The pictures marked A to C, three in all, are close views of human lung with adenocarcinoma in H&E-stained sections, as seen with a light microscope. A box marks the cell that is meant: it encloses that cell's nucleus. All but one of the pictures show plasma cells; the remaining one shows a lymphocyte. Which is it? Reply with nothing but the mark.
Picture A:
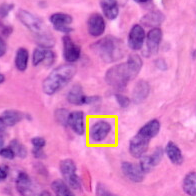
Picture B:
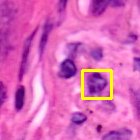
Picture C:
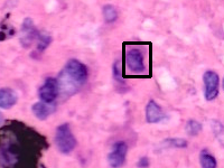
A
